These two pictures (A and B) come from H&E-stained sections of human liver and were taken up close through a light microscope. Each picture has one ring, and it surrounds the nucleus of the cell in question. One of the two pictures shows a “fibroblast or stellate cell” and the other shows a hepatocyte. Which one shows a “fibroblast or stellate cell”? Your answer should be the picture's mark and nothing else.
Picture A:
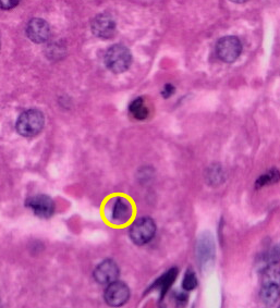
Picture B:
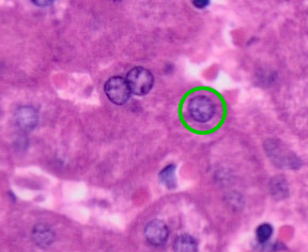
A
